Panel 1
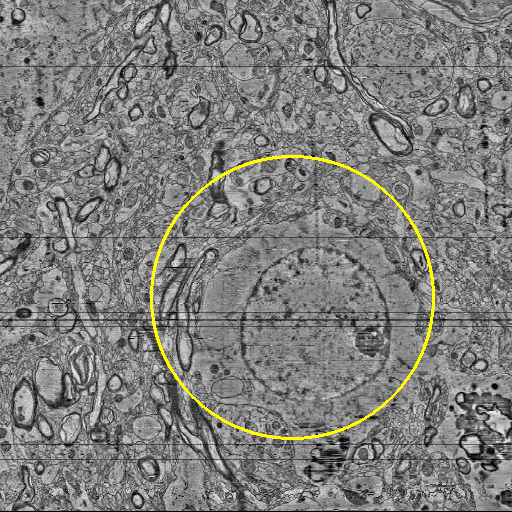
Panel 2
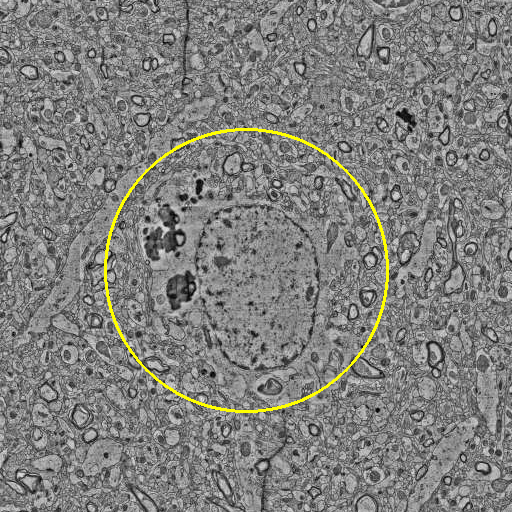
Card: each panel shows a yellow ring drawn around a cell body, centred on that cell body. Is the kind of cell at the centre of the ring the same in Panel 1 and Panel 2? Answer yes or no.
yes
